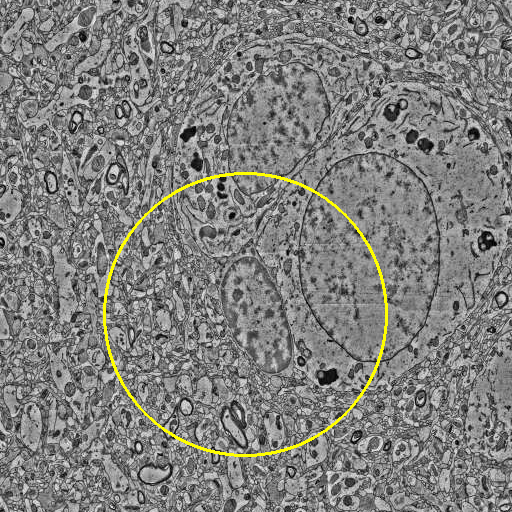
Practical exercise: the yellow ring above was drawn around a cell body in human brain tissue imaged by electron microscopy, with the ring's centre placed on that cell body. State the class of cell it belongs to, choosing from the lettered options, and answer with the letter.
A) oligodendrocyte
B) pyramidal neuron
A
